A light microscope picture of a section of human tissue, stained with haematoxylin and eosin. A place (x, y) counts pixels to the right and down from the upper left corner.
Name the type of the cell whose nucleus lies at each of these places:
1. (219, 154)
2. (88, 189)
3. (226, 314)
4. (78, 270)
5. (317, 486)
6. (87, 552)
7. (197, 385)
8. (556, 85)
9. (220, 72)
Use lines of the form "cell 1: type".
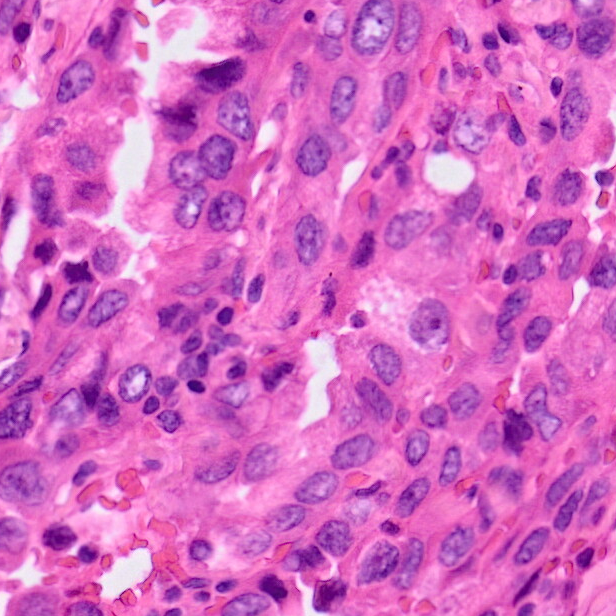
cell 1: carcinoma cell
cell 2: carcinoma cell
cell 3: lymphocyte
cell 4: carcinoma cell
cell 5: carcinoma cell
cell 6: lymphocyte
cell 7: lymphocyte
cell 8: lymphocyte
cell 9: carcinoma cell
